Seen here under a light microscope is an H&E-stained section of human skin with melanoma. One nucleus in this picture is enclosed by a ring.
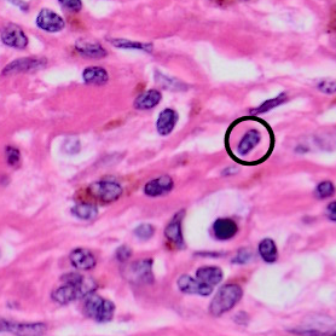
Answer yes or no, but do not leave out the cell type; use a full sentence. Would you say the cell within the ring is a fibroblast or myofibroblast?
No, the cell within the ring is reported as a lymphocyte rather than a fibroblast or myofibroblast.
